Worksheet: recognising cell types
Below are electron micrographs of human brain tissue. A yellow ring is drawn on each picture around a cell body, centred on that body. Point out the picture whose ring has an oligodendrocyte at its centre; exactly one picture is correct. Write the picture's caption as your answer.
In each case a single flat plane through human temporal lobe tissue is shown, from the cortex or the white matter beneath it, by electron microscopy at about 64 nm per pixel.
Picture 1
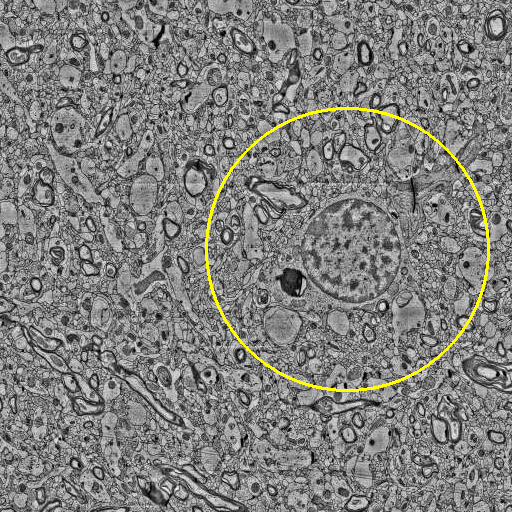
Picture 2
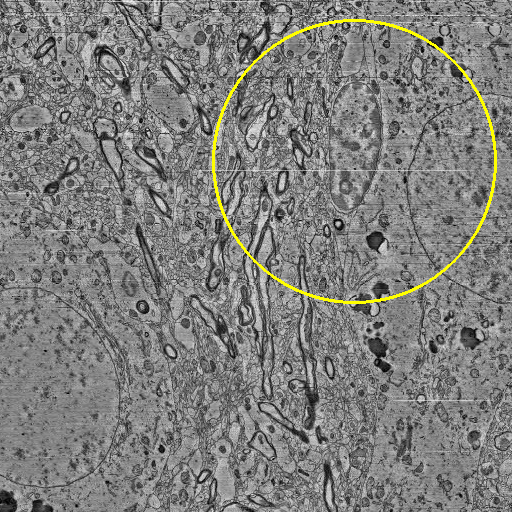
Picture 1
